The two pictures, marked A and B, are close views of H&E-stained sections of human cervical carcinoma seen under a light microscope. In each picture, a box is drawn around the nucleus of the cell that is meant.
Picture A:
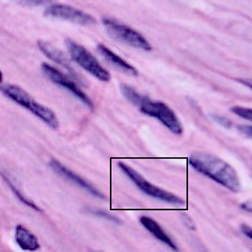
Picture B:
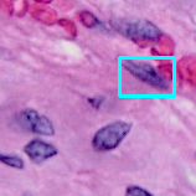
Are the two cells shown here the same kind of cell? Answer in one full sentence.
No, the types are not the same, since picture A shows a fibroblast and picture B an endothelial cell.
